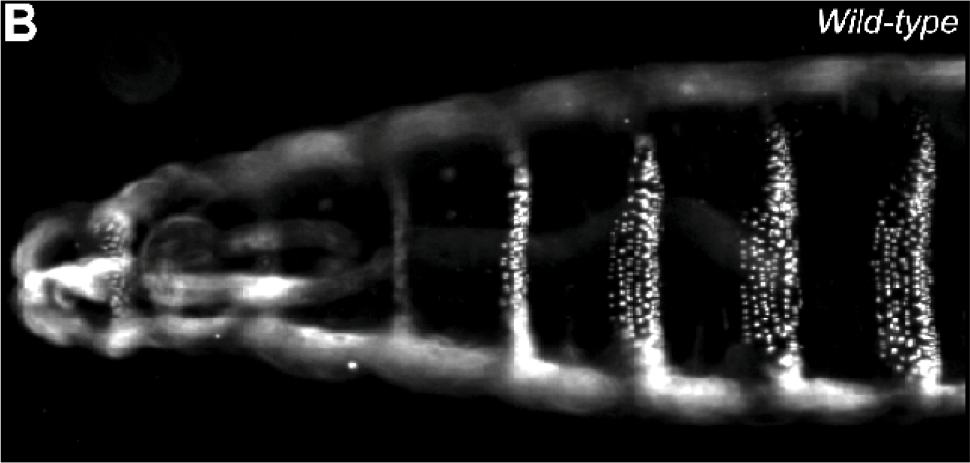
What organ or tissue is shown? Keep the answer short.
Cuticles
